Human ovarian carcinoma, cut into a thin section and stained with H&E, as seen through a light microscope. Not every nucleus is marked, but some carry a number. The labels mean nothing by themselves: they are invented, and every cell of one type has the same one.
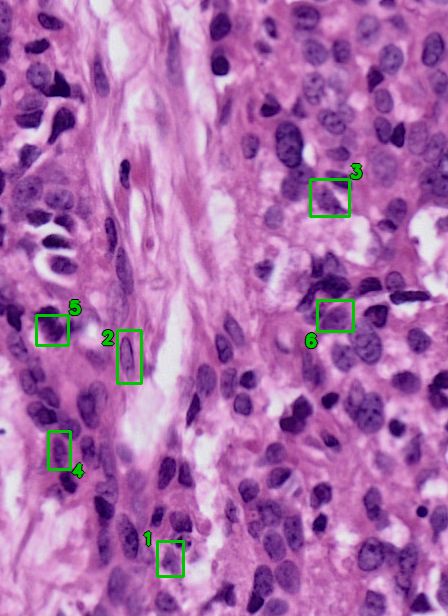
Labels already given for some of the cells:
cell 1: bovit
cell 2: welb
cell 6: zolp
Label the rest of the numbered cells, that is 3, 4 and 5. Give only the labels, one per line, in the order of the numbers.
zolp
zolp
zolp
